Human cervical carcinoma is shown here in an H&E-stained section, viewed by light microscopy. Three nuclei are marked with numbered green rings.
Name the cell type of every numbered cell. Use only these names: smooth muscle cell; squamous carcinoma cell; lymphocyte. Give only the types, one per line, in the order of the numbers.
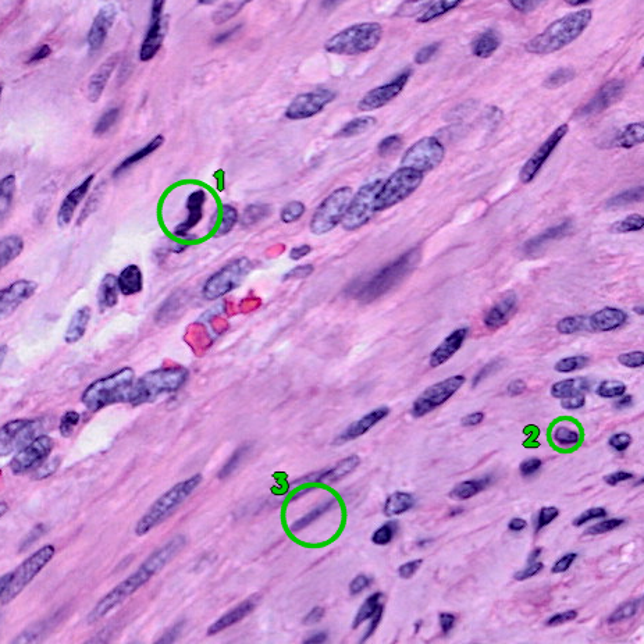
lymphocyte
smooth muscle cell
smooth muscle cell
